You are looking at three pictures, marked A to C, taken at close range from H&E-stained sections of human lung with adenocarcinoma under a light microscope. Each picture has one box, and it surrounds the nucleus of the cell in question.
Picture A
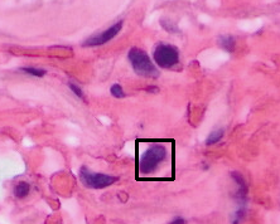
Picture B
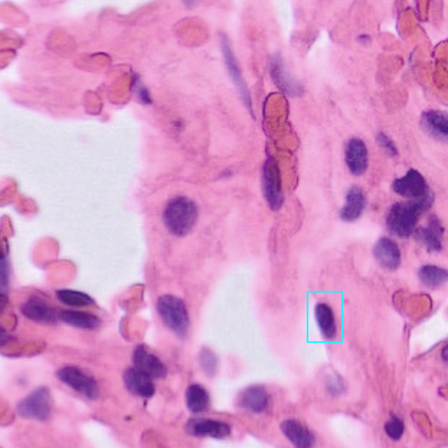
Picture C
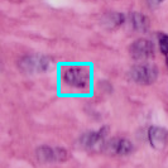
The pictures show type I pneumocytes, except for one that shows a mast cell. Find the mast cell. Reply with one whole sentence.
The picture with the mast cell is C.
